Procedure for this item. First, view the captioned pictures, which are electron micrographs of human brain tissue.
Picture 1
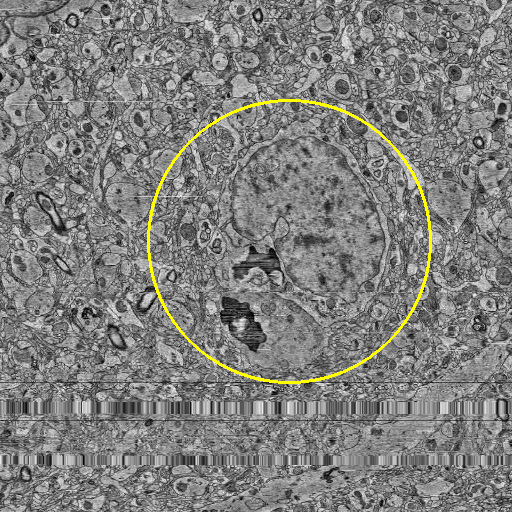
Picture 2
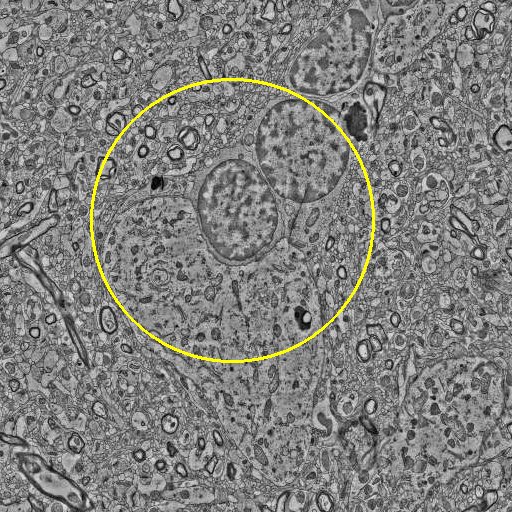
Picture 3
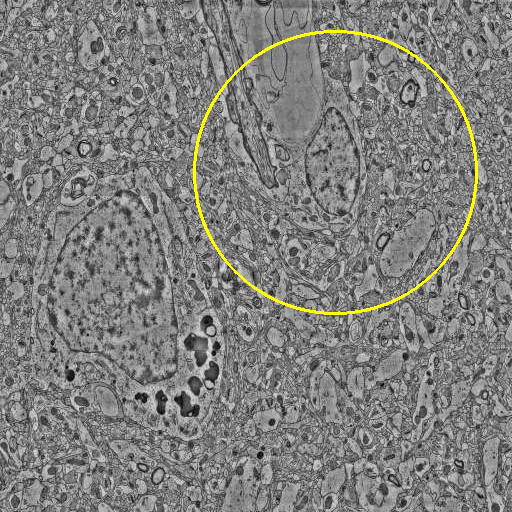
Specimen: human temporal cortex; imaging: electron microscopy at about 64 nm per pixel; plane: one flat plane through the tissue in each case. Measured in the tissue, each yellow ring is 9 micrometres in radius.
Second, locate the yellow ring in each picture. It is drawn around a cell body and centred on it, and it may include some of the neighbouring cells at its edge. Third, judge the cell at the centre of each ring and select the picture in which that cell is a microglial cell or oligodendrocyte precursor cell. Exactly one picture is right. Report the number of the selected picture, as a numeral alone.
3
